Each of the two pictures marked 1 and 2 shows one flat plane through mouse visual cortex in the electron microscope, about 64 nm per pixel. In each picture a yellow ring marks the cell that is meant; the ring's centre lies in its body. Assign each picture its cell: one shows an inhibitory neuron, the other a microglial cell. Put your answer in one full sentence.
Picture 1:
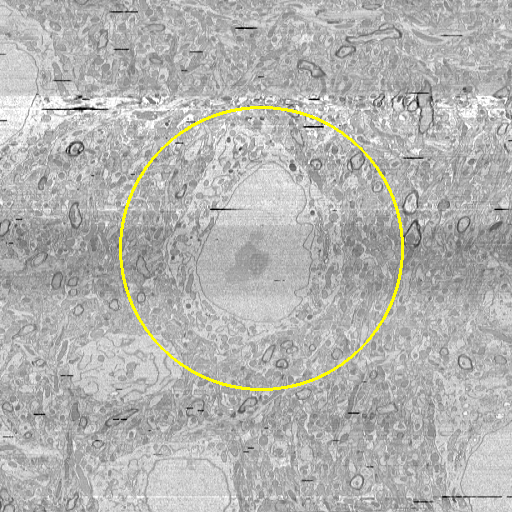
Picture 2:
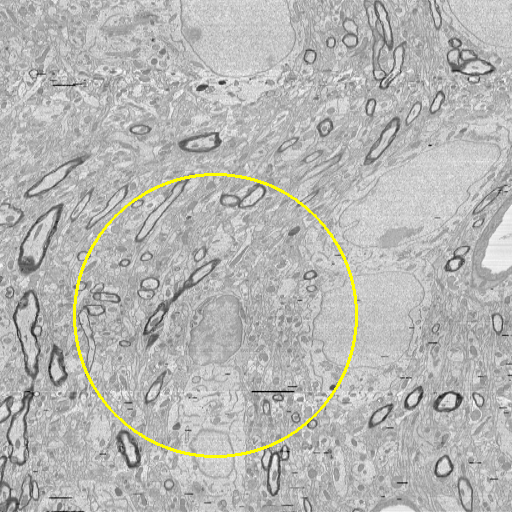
Picture 1 shows an inhibitory neuron and picture 2 shows a microglial cell.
